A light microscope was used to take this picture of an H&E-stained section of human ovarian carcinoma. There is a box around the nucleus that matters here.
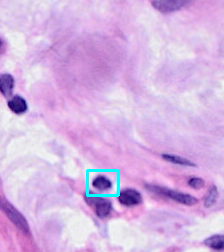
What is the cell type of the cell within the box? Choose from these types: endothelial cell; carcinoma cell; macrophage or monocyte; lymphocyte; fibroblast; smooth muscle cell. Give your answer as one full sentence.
For the purposes of cell typing, the cell within the box is categorized as a lymphocyte.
